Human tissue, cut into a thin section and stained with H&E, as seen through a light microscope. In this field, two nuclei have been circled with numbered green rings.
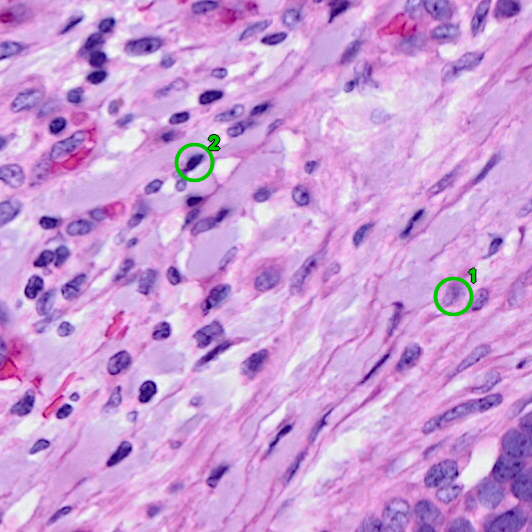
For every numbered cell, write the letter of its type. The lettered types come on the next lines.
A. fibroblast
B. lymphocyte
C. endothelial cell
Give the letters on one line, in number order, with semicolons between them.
A; B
